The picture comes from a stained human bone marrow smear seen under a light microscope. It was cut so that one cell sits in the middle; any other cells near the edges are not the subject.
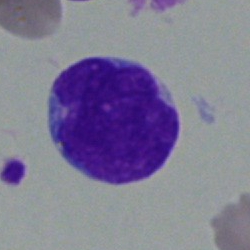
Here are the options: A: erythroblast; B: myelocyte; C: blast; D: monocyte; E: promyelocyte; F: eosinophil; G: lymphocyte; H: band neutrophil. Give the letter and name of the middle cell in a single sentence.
That the central cell is a blast makes option C correct.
